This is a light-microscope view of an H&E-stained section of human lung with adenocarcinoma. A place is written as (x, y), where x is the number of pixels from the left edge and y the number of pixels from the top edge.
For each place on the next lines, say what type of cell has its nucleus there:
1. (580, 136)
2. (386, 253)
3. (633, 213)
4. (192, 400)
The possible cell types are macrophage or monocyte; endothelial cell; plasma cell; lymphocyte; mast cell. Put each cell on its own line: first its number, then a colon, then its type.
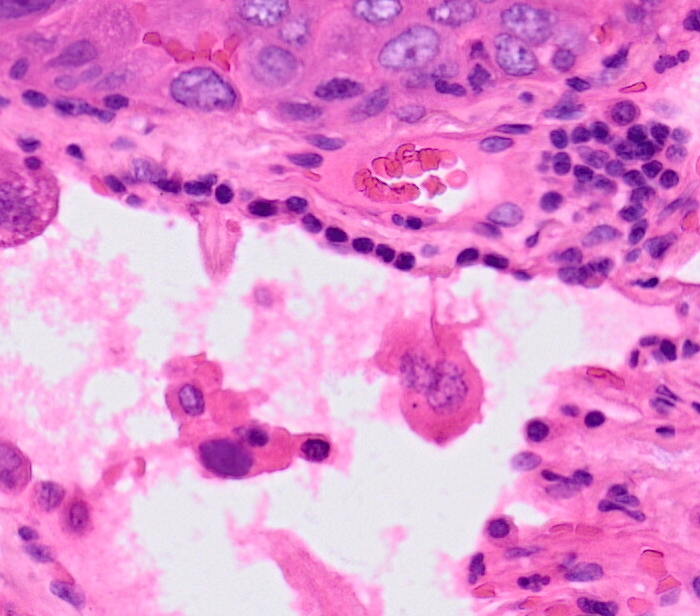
1: lymphocyte
2: lymphocyte
3: lymphocyte
4: macrophage or monocyte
